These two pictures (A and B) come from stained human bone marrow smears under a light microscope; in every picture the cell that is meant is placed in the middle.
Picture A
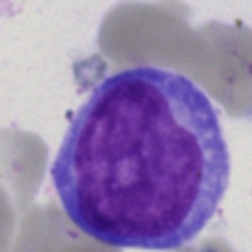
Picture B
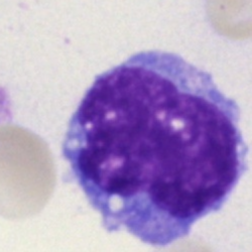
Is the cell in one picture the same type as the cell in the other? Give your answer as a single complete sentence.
Yes, both are blasts.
